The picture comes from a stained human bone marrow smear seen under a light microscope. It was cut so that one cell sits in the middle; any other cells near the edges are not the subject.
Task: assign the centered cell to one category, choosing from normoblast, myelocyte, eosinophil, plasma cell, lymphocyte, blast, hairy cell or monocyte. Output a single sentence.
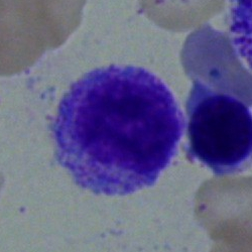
In the central position of this crop, the cell is a myelocyte.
